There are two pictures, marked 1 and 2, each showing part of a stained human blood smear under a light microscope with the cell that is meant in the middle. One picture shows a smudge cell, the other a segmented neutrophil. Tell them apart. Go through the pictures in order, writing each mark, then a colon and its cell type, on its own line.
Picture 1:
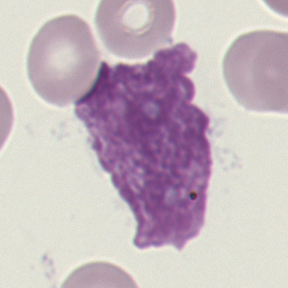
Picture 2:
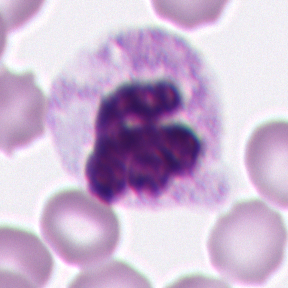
1: smudge cell
2: segmented neutrophil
